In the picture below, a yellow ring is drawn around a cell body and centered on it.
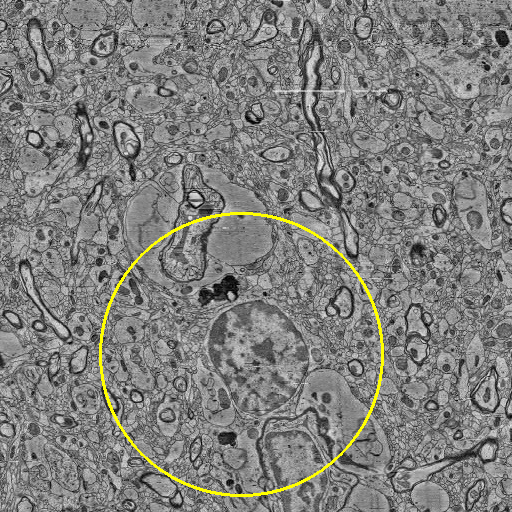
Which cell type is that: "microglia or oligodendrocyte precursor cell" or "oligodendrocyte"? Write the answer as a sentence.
The cell centered in the ring is a microglial cell or oligodendrocyte precursor cell.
